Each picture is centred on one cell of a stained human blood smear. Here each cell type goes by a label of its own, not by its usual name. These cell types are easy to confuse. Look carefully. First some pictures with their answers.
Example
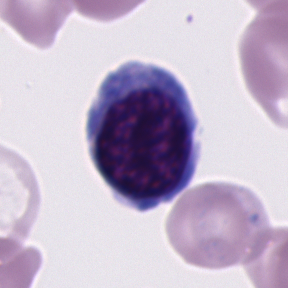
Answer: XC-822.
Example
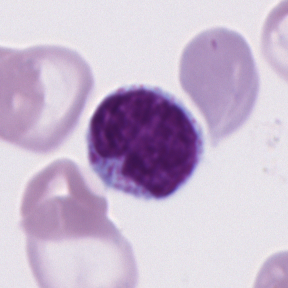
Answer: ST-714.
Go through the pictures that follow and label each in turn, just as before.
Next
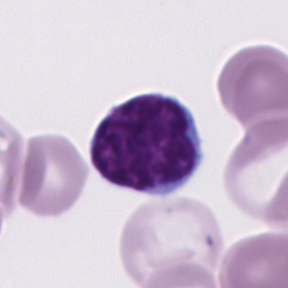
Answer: ST-714.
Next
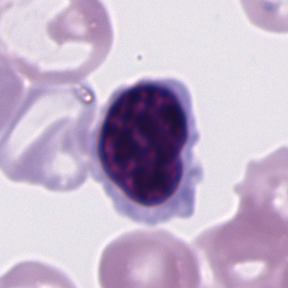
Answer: XC-822.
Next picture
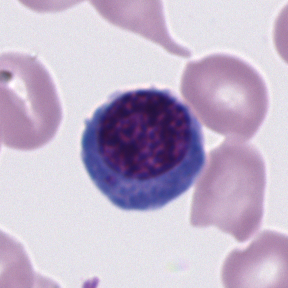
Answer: XC-822.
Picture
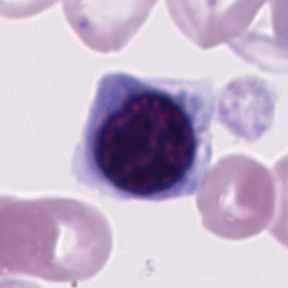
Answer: XC-822.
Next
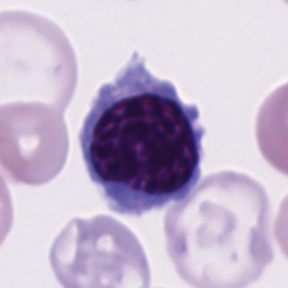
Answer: XC-822.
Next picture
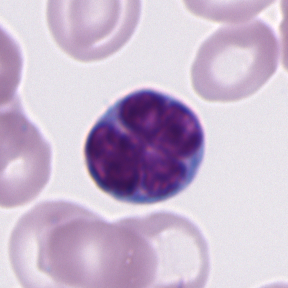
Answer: ST-714.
